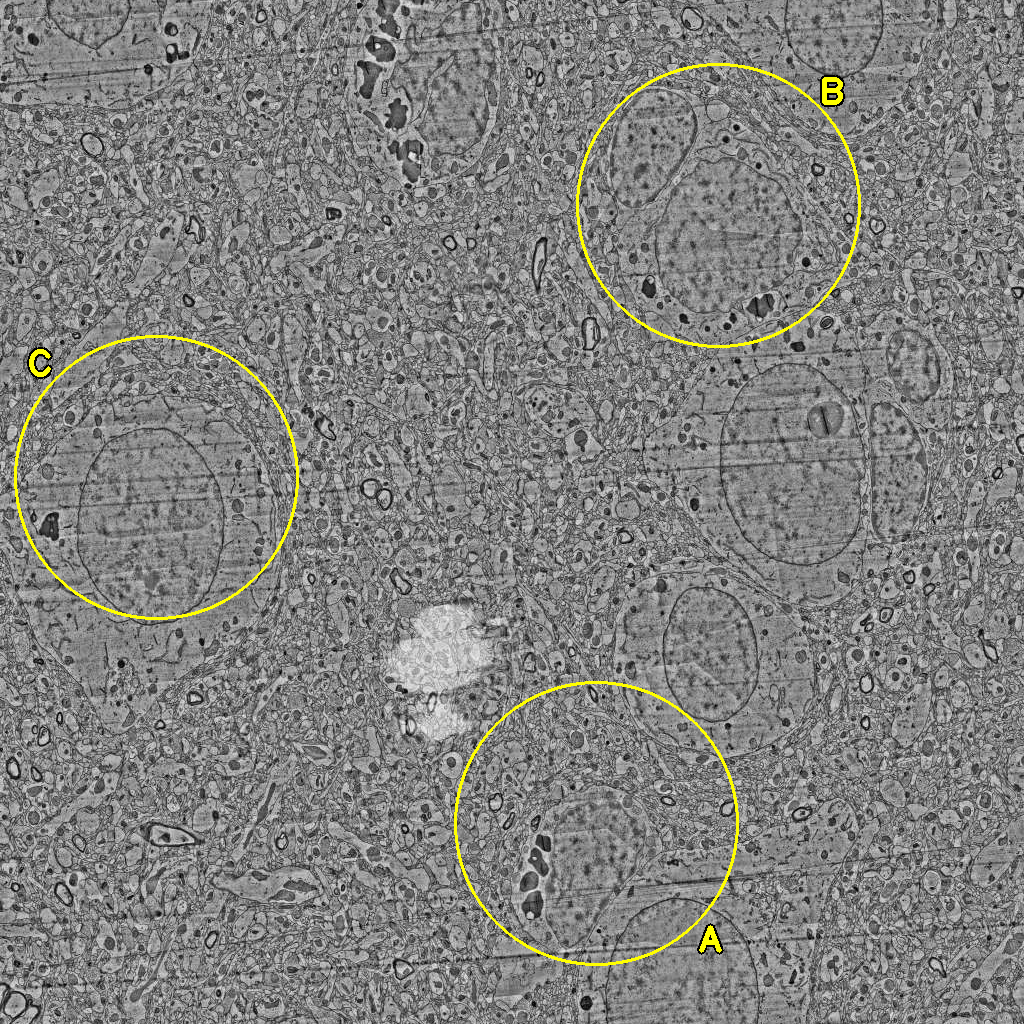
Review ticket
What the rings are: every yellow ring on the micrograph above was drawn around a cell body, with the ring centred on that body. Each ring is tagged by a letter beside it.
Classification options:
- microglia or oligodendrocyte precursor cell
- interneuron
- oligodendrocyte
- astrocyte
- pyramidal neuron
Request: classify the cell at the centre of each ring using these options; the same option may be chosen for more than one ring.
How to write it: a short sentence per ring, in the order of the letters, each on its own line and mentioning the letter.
The cell centred in ring A is an interneuron.
The cell centred in ring B is an interneuron.
The cell centred in ring C is a pyramidal neuron.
